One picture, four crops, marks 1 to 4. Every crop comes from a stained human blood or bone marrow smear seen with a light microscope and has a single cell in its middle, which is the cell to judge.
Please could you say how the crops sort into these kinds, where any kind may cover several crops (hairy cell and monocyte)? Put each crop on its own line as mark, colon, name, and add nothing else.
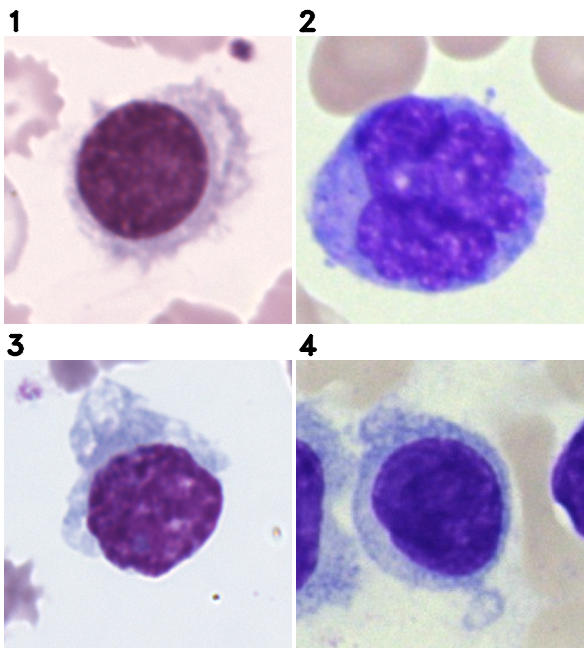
1: hairy cell
2: monocyte
3: hairy cell
4: hairy cell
